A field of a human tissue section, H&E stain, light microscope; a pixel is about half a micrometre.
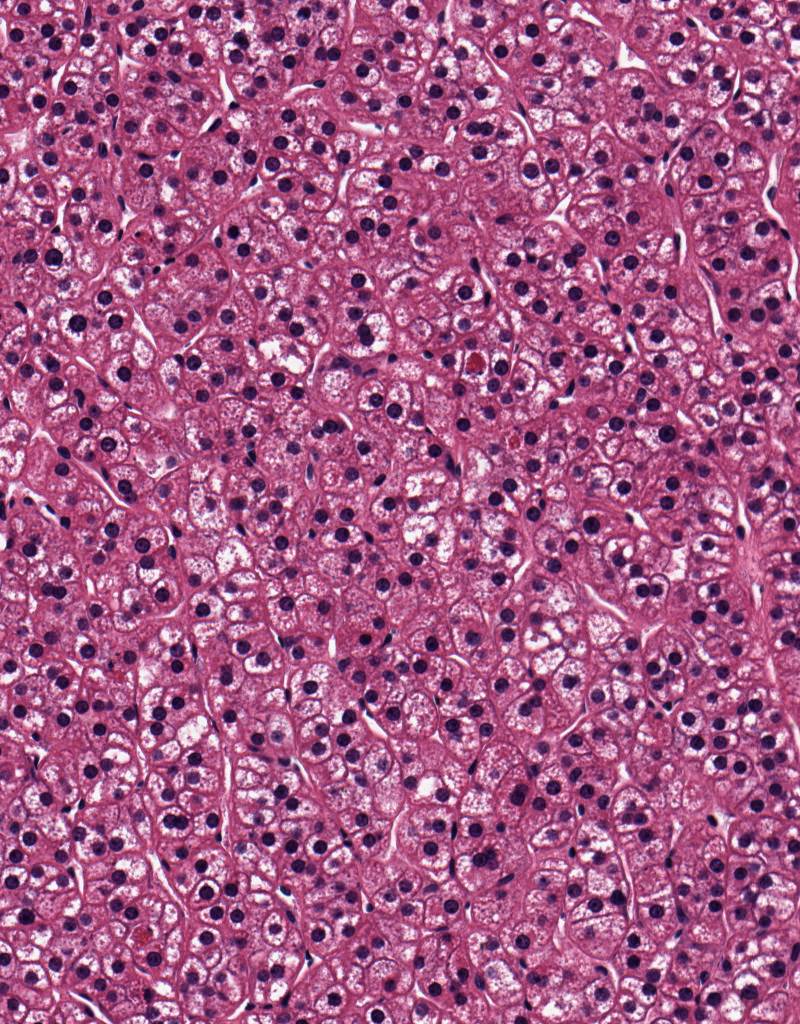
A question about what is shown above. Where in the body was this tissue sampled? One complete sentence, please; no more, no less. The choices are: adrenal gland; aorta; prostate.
The tissue sectioned for this slide came from the adrenal gland.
